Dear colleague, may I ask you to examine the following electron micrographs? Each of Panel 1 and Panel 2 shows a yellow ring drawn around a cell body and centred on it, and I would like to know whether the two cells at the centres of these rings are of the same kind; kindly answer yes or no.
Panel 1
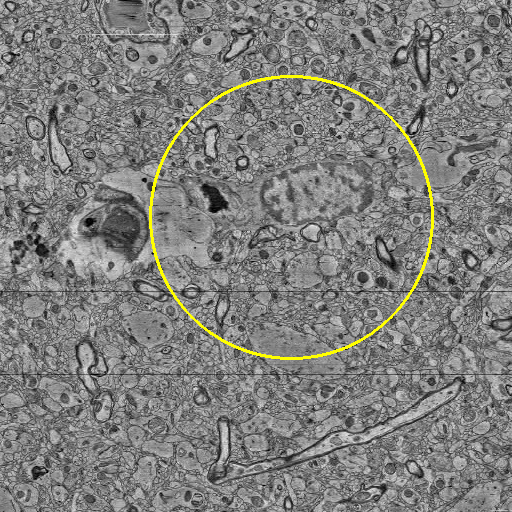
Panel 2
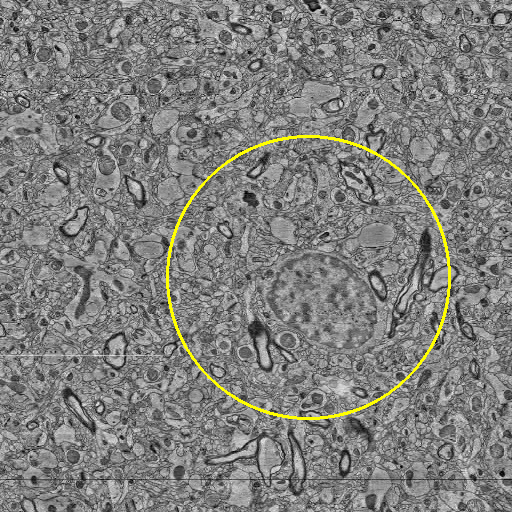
yes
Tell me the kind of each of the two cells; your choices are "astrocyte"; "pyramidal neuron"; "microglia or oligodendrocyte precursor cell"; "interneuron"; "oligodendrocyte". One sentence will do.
Each cell at the centre of a ring is an oligodendrocyte.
